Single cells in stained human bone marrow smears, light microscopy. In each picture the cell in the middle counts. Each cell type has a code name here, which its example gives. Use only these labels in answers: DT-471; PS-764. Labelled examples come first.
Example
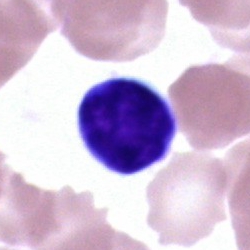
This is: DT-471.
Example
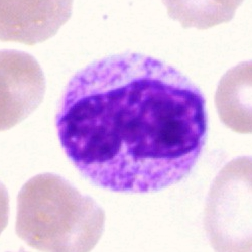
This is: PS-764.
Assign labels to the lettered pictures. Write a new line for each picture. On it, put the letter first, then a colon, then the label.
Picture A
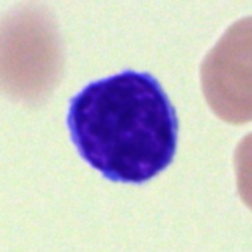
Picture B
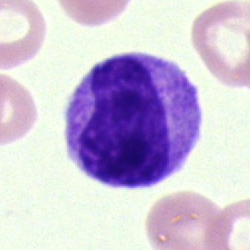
A: DT-471.
B: PS-764.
